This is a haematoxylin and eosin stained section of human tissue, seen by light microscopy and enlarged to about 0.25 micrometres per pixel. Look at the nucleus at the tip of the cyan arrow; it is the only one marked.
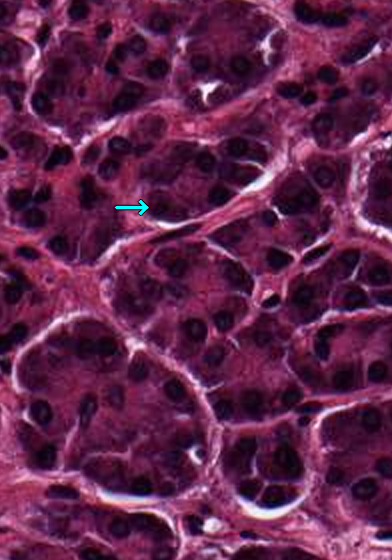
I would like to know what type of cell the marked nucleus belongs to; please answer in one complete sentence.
The cell bearing the marked nucleus is a pancreatic acinar cell.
